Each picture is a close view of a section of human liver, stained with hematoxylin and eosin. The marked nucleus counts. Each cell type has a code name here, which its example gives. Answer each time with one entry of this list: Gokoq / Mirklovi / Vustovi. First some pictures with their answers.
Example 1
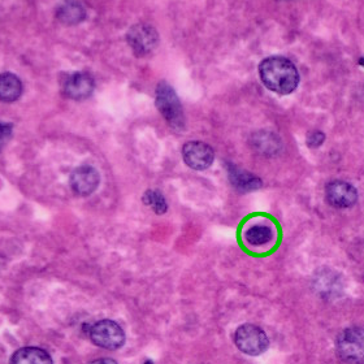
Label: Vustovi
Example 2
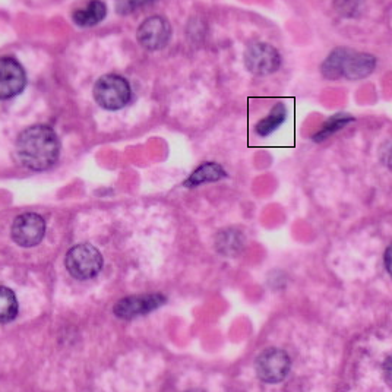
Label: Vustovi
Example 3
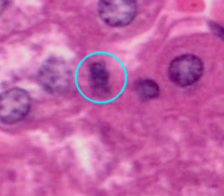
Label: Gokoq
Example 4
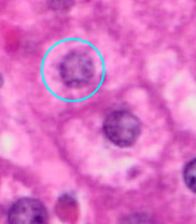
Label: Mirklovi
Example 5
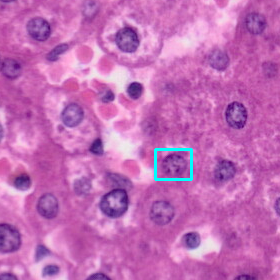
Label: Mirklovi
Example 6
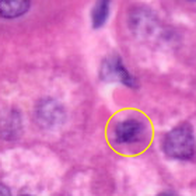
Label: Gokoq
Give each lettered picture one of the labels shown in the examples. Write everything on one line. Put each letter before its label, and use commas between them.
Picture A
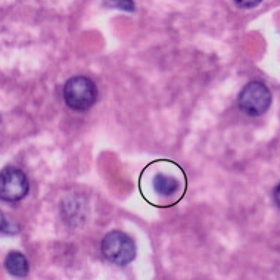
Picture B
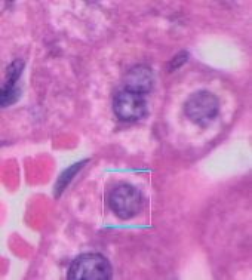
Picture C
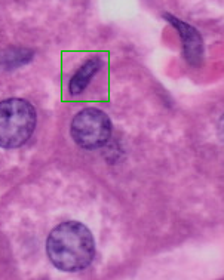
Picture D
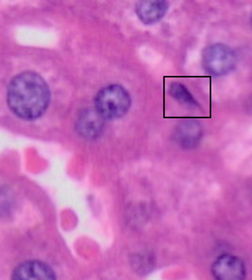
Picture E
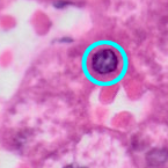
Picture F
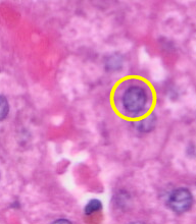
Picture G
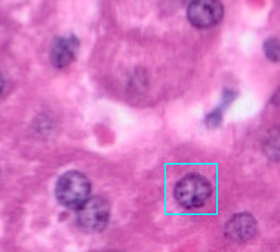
A Vustovi, B Mirklovi, C Gokoq, D Gokoq, E Mirklovi, F Mirklovi, G Mirklovi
